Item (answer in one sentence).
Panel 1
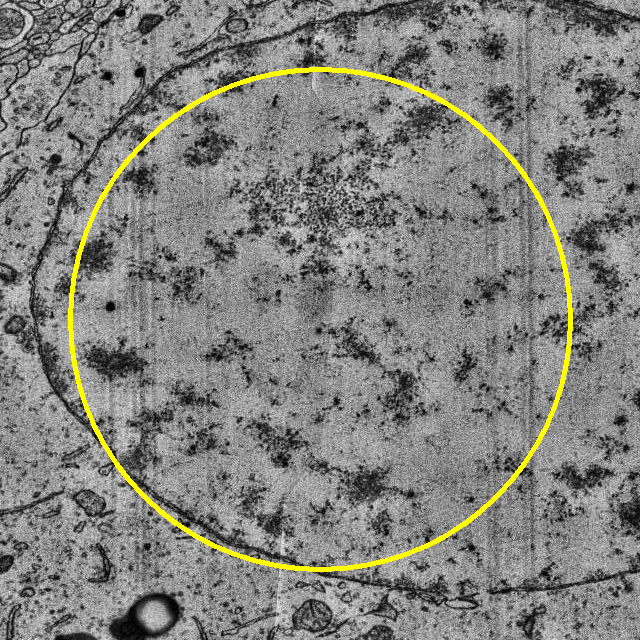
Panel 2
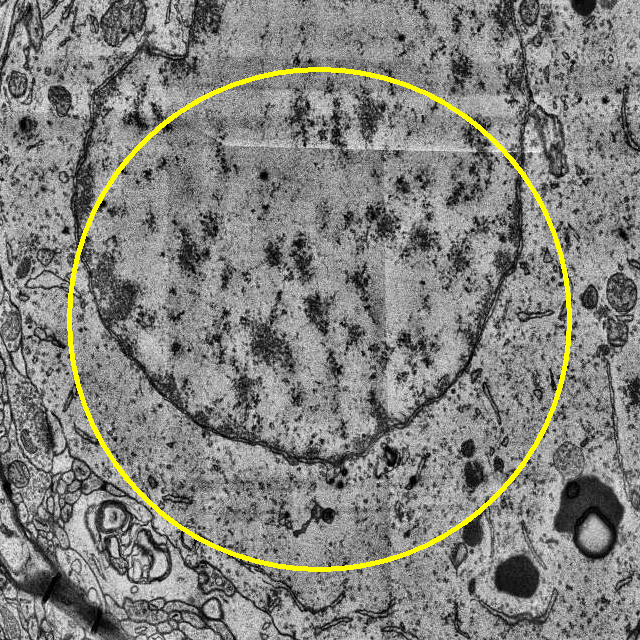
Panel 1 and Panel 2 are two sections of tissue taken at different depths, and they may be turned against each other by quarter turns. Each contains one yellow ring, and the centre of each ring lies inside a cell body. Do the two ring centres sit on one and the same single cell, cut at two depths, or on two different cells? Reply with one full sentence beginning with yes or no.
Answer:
Yes, a single cell lies behind both yellow marks.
